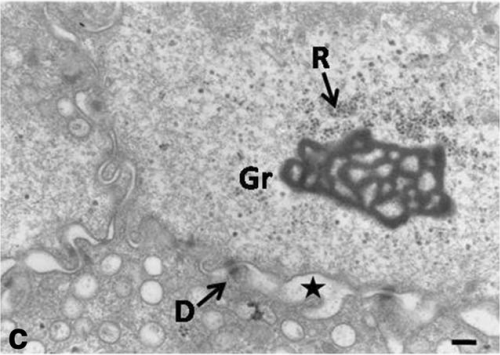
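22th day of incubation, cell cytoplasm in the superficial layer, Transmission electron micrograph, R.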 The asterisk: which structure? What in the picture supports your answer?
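The asterisk lies in a pale, electron-lucent gap between two cell membranes. A dense membrane junction lies beside the gap.
Conclusion: intercellular space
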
